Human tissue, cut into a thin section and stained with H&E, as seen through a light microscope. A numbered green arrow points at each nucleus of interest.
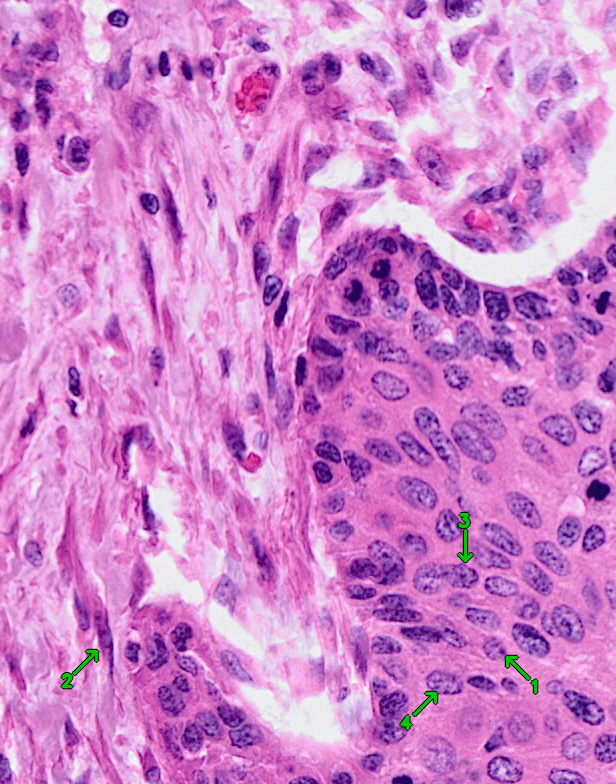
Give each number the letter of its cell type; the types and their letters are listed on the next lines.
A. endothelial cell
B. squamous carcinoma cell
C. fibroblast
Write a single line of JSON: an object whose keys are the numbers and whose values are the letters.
{"1": "B", "2": "C", "3": "B", "4": "B"}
